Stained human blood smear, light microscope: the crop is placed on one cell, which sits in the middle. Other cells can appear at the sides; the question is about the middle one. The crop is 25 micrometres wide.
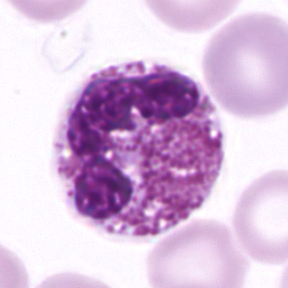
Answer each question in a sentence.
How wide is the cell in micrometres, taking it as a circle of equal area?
It measures about 15 micrometres across.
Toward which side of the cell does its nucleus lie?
The nucleus is pushed toward the upper left of the cell.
